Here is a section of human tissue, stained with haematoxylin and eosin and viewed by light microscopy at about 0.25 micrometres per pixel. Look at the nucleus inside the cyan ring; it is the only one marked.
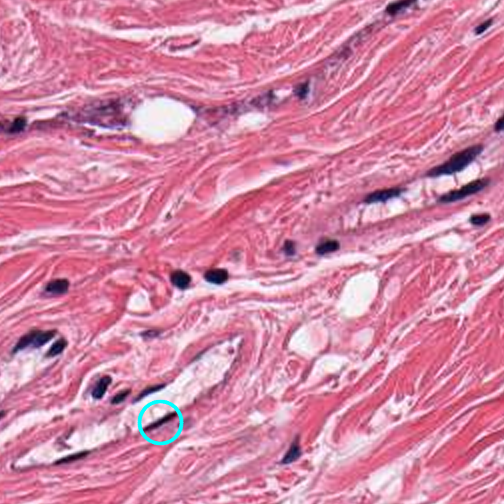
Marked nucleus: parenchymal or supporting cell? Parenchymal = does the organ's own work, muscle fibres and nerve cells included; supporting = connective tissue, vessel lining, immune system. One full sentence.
The marked nucleus, in this section, is the nucleus of a supporting cell.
